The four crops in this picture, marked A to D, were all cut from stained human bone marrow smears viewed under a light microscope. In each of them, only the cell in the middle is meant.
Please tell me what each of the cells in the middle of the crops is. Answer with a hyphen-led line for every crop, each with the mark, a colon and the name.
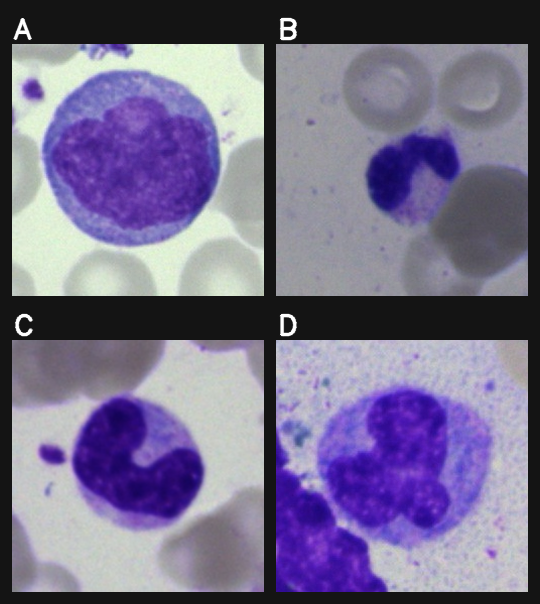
- A: monocyte
- B: segmented neutrophil
- C: band neutrophil
- D: monocyte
